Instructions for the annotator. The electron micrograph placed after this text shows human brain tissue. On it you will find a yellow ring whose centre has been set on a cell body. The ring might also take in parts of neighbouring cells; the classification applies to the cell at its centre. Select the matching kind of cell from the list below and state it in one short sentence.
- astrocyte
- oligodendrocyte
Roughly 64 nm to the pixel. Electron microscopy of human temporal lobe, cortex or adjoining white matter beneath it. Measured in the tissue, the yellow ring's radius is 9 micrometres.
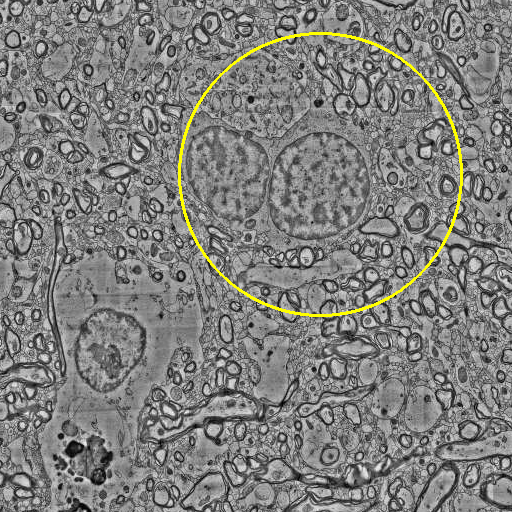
The ring is drawn on the cell body of an oligodendrocyte.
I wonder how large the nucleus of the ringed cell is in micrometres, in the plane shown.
The nucleus appears about 7 micrometres across in this plane.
